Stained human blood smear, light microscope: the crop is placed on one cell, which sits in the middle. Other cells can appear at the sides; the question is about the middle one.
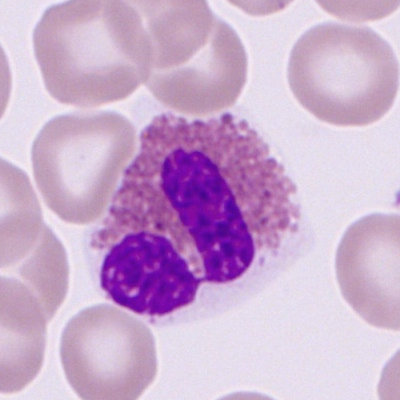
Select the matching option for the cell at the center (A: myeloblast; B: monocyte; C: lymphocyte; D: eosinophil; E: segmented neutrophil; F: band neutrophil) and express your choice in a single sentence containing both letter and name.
Option D is accurate; the centrally placed cell is an eosinophil.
